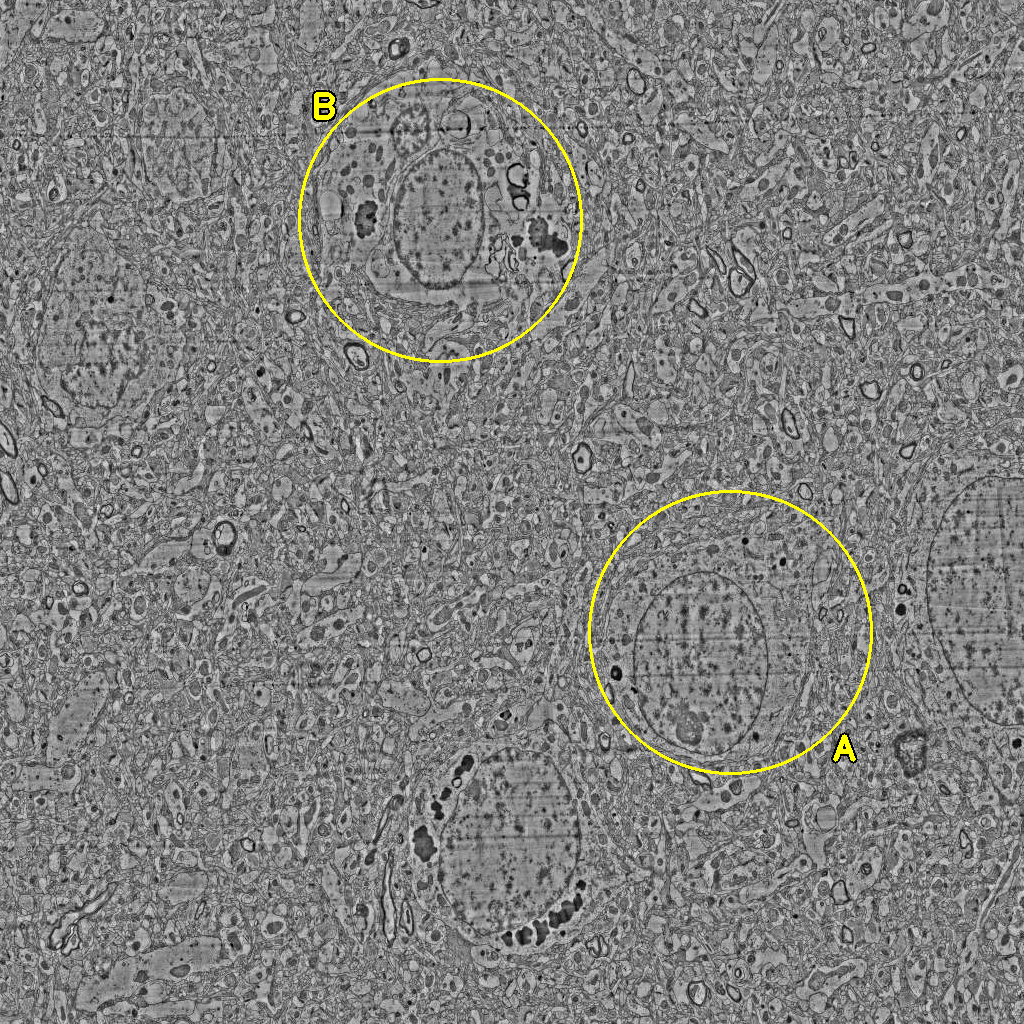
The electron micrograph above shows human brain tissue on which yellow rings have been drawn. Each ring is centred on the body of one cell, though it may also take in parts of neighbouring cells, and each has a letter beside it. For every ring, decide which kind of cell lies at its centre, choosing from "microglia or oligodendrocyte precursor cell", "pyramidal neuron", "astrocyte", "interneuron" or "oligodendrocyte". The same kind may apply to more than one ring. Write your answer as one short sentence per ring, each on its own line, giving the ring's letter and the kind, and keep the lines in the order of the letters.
Ring A is centred on a pyramidal neuron.
Ring B is centred on an astrocyte.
